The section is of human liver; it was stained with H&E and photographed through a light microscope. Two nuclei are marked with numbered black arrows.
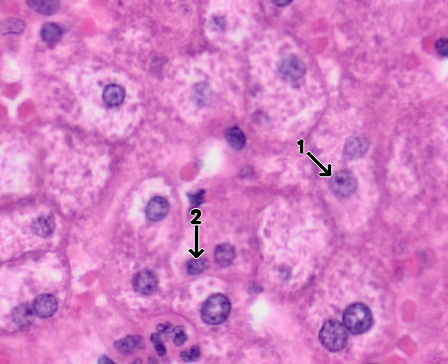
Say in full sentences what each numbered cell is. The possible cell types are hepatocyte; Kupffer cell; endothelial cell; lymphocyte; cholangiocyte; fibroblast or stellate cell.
Cell 1 is a hepatocyte and cell 2 is a Kupffer cell.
